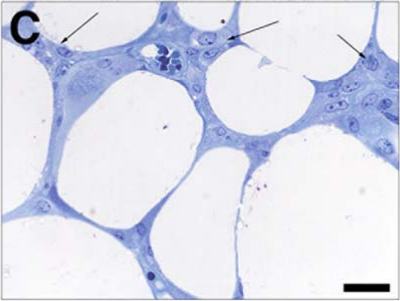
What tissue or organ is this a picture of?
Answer: adipose tissue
